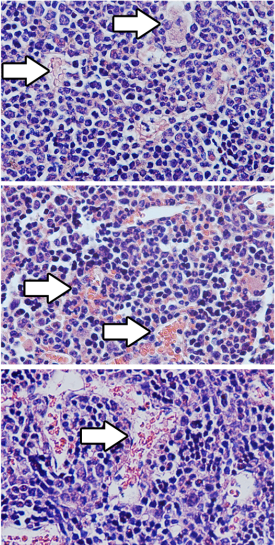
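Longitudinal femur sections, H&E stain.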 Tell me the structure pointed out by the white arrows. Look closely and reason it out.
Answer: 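Vessels. The arrows point to open spaces among densely packed cells. These spaces contain small pink-red anucleate cells like red blood cells. The spaces are bordered by thin, flattened cells.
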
